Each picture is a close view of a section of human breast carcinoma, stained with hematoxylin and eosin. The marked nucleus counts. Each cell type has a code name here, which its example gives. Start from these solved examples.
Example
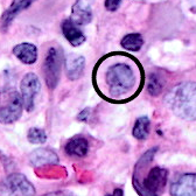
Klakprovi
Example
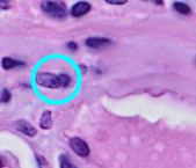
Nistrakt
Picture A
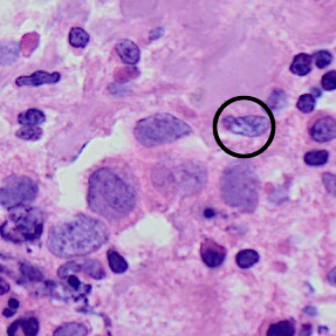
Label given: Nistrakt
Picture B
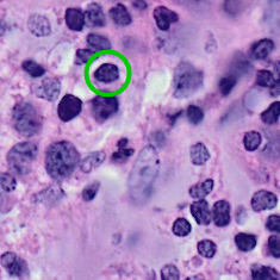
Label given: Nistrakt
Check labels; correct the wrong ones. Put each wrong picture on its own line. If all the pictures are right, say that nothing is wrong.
A: not Nistrakt but Klakprovi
